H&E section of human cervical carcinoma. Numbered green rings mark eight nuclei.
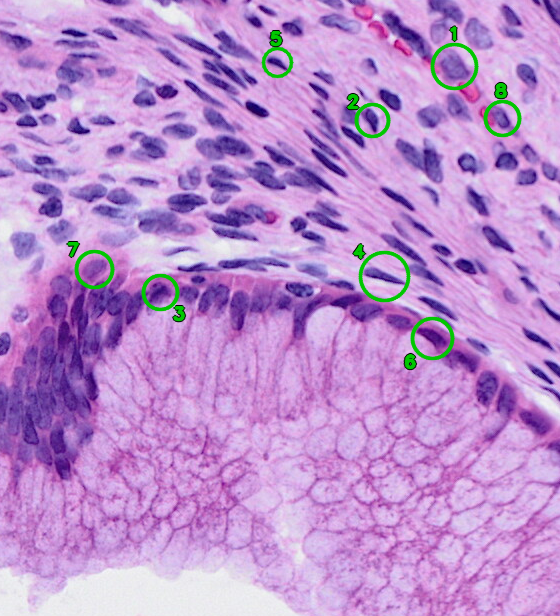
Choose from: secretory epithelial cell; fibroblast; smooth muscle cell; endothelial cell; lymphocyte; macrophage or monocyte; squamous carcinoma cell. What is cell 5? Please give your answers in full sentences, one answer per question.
Cell 5 of the marked set is a fibroblast.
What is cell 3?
The cell numbered 3 has been identified as a secretory epithelial cell.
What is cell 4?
Corresponding to a fibroblast is the cell labelled 4.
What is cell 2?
The cell carrying label 2 is identified as a fibroblast.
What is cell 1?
The cell identified by the number 1 is an endothelial cell.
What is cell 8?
The cell tagged with 8 in this tissue section is an endothelial cell.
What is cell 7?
Nucleus 7 in this section belongs to a secretory epithelial cell.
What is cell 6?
The cell that carries the label 6 is a secretory epithelial cell.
